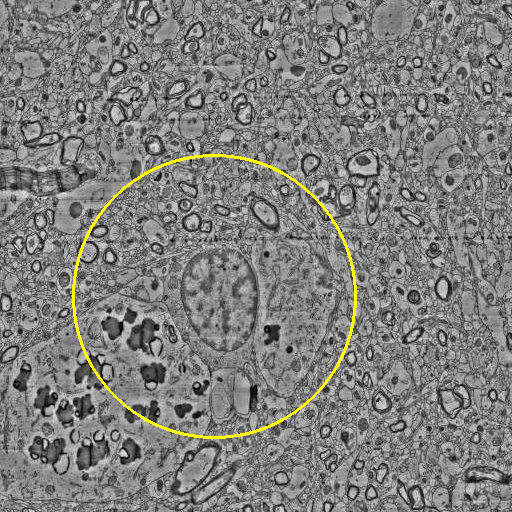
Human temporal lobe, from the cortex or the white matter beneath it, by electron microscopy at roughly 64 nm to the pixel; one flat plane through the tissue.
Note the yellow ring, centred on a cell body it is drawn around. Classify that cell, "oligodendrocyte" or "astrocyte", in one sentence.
The cell the ring is centred on is an oligodendrocyte.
